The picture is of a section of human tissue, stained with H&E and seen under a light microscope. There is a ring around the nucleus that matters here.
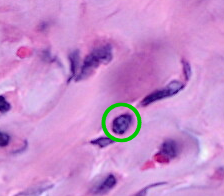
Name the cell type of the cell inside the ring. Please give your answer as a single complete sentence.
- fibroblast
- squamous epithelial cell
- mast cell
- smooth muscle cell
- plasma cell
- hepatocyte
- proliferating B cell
With respect to cell type, the cell inside the ring is a mast cell.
